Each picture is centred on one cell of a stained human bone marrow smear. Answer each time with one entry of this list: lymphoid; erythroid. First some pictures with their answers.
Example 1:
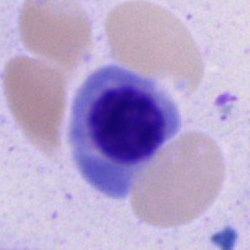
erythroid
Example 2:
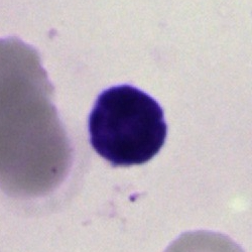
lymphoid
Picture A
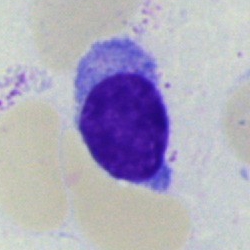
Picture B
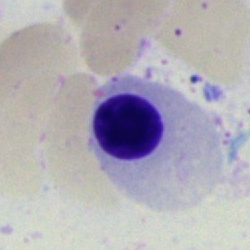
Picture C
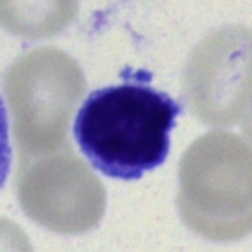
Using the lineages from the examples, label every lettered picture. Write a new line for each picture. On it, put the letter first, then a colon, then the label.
A: lymphoid
B: erythroid
C: lymphoid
